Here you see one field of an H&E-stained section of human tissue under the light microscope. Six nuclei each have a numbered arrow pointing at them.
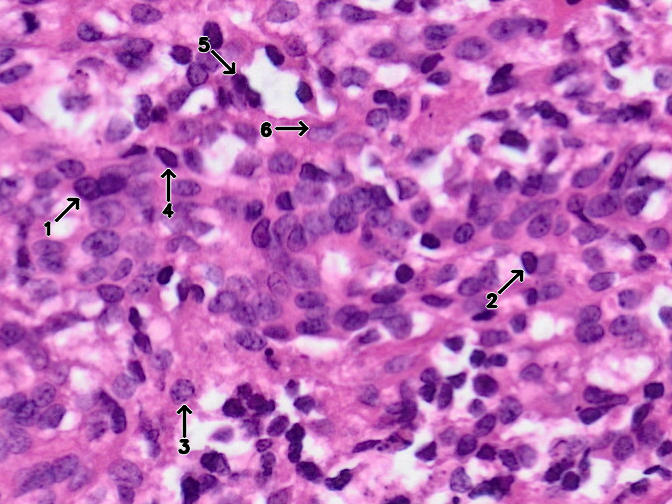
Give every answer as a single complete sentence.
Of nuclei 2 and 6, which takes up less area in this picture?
The smaller nucleus is 2, and 6 covers roughly 2 times its area.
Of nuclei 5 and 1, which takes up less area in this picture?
Number 5 is smaller, since number 1 takes up about 1.5 times as much area.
